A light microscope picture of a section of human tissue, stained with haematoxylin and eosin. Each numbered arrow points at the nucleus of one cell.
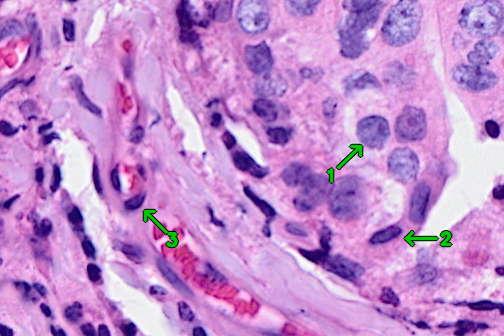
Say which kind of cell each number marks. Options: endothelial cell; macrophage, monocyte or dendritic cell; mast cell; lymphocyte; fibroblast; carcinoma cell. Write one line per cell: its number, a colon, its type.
1: carcinoma cell
2: carcinoma cell
3: endothelial cell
